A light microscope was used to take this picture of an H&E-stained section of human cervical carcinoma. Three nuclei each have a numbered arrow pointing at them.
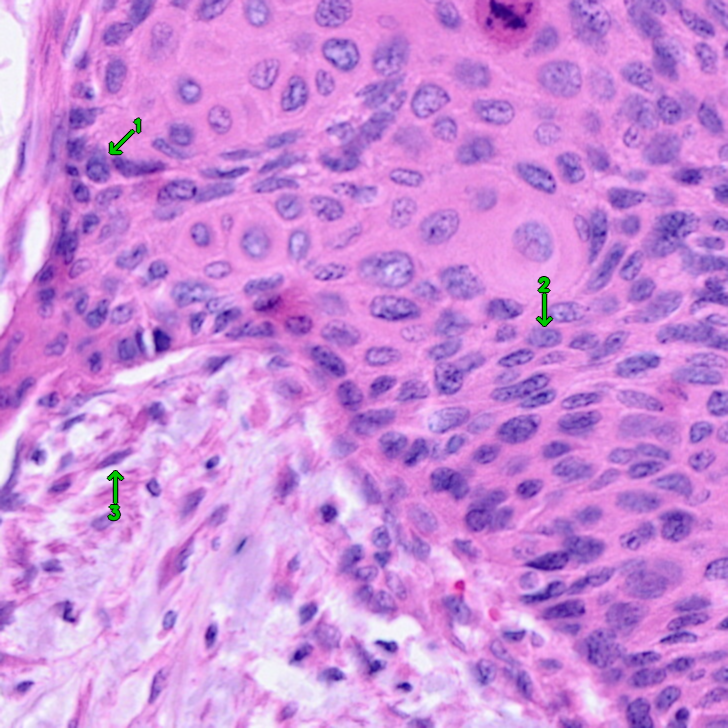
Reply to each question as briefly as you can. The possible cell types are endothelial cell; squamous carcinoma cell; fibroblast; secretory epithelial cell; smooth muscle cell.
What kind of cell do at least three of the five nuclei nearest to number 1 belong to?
squamous carcinoma cell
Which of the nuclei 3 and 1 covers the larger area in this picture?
1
